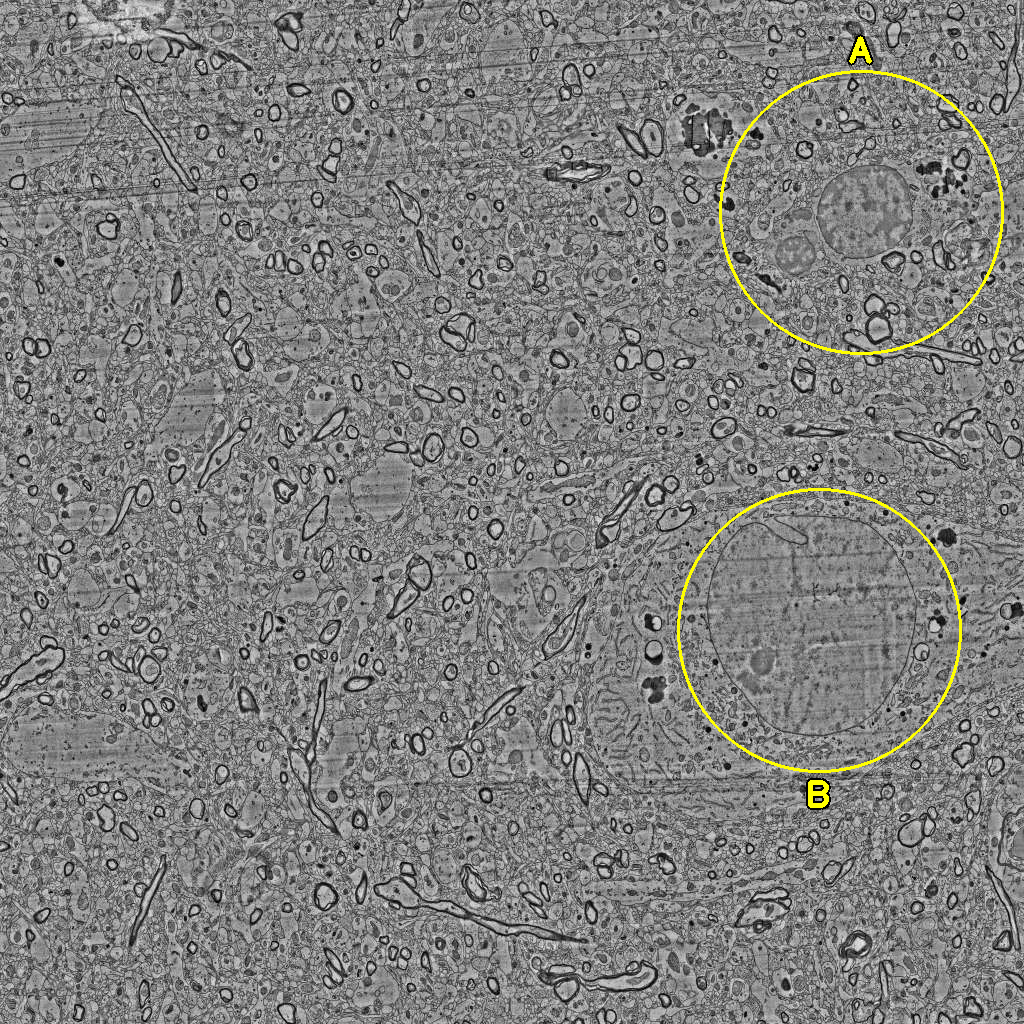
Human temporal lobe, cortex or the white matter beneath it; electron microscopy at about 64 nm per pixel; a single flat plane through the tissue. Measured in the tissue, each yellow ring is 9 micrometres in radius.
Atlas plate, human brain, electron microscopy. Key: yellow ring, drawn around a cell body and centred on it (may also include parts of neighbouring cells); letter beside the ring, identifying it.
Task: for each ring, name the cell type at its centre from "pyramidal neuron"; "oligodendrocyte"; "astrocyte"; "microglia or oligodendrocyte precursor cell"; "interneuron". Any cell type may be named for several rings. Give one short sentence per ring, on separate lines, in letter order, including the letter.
Ring A is centred over an oligodendrocyte.
Ring B is centred over a pyramidal neuron.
